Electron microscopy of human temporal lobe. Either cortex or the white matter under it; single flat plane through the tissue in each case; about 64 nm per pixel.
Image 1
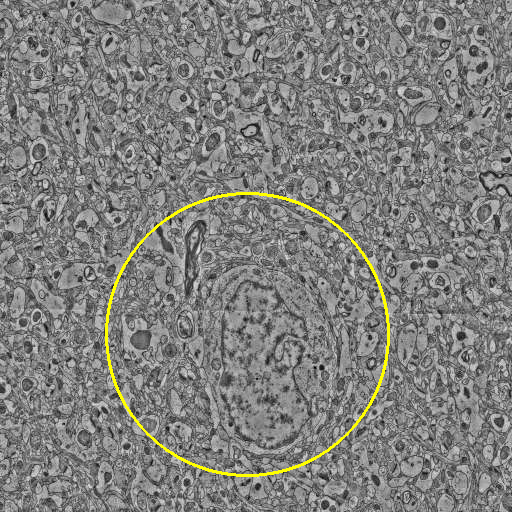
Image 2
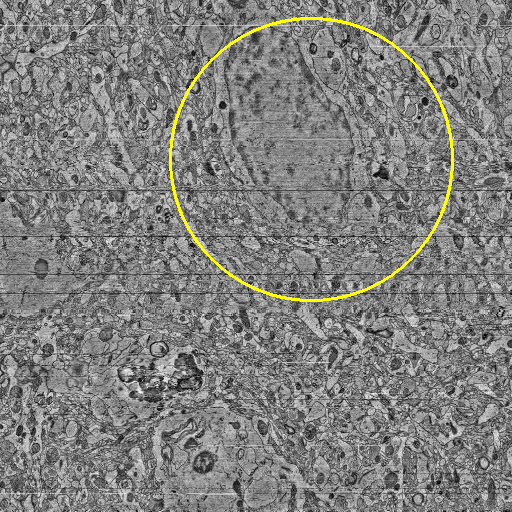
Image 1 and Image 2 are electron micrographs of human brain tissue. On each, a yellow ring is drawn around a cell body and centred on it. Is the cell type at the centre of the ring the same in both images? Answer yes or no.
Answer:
yes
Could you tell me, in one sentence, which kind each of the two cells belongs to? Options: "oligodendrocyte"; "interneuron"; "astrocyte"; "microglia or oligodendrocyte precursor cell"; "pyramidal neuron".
Both pictures show an interneuron at the centre of the ring.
